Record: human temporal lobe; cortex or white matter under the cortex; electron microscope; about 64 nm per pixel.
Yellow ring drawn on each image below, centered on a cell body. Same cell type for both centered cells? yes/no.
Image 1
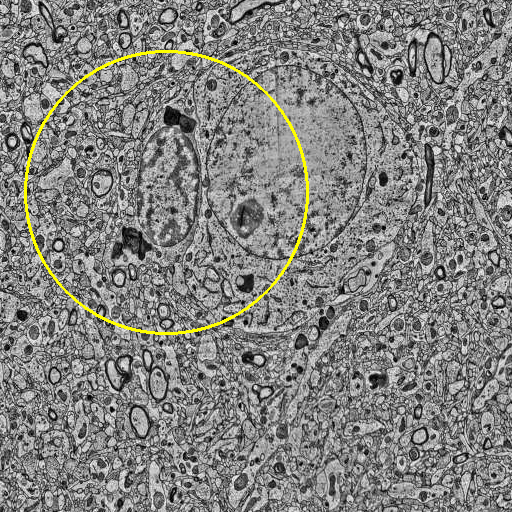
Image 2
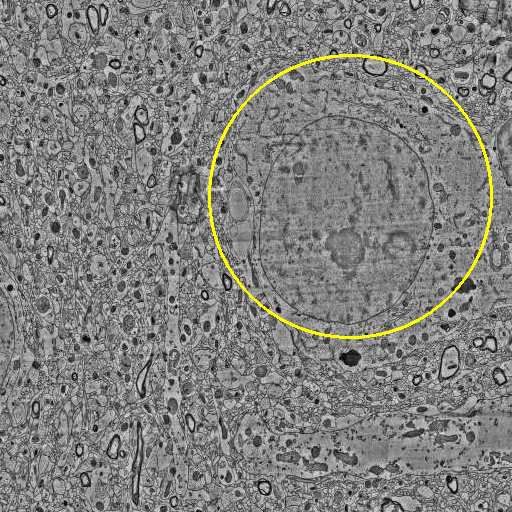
no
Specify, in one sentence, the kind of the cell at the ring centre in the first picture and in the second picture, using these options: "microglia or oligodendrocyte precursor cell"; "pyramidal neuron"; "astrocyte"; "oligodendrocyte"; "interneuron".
So the first is an oligodendrocyte, the second a pyramidal neuron.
